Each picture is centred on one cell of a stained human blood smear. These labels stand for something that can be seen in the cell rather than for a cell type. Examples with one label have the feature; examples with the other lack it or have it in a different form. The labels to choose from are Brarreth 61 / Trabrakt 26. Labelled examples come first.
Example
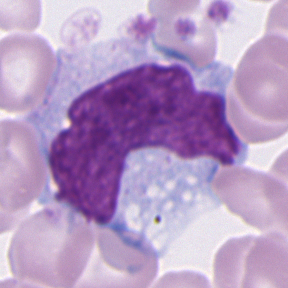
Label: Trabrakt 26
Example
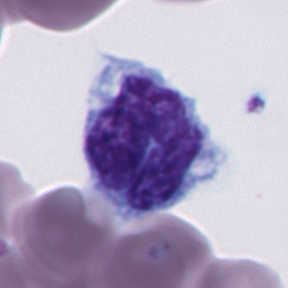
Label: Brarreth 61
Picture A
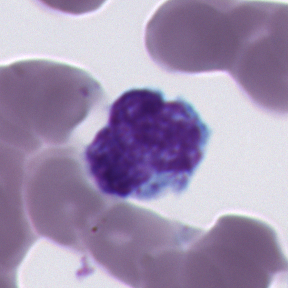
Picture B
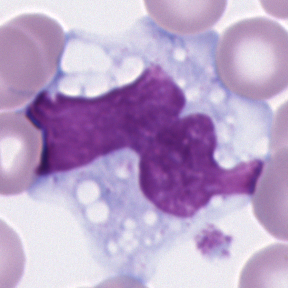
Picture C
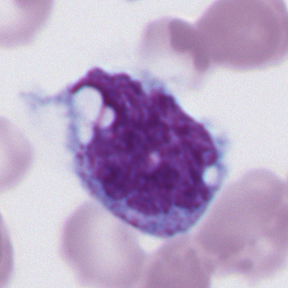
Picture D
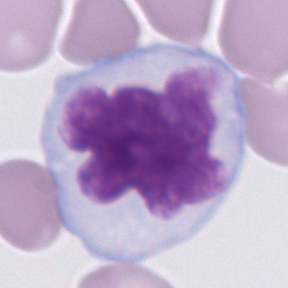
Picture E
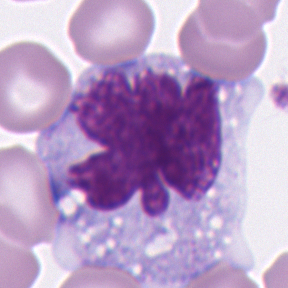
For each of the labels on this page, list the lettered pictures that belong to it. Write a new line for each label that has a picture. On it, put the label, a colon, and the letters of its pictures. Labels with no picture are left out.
Brarreth 61: A, C
Trabrakt 26: B, D, E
